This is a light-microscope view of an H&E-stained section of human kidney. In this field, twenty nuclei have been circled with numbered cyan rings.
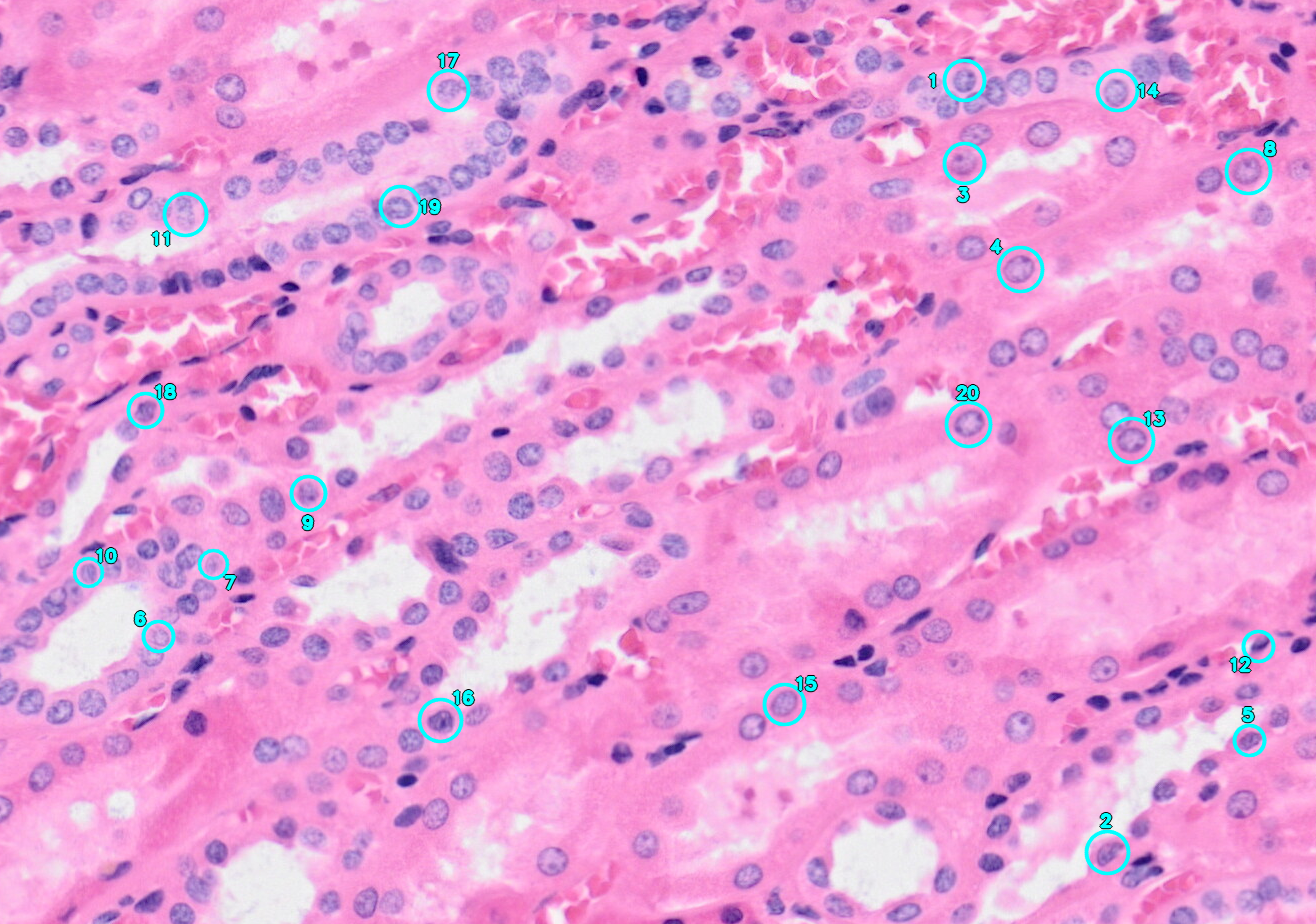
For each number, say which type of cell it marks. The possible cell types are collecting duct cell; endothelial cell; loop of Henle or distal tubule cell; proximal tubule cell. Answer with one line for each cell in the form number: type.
1: collecting duct cell
2: loop of Henle or distal tubule cell
3: proximal tubule cell
4: proximal tubule cell
5: loop of Henle or distal tubule cell
6: collecting duct cell
7: collecting duct cell
8: proximal tubule cell
9: loop of Henle or distal tubule cell
10: collecting duct cell
11: collecting duct cell
12: endothelial cell
13: proximal tubule cell
14: collecting duct cell
15: proximal tubule cell
16: loop of Henle or distal tubule cell
17: collecting duct cell
18: loop of Henle or distal tubule cell
19: collecting duct cell
20: proximal tubule cell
